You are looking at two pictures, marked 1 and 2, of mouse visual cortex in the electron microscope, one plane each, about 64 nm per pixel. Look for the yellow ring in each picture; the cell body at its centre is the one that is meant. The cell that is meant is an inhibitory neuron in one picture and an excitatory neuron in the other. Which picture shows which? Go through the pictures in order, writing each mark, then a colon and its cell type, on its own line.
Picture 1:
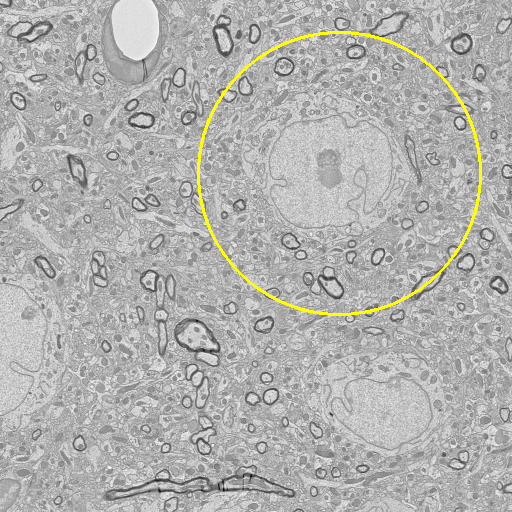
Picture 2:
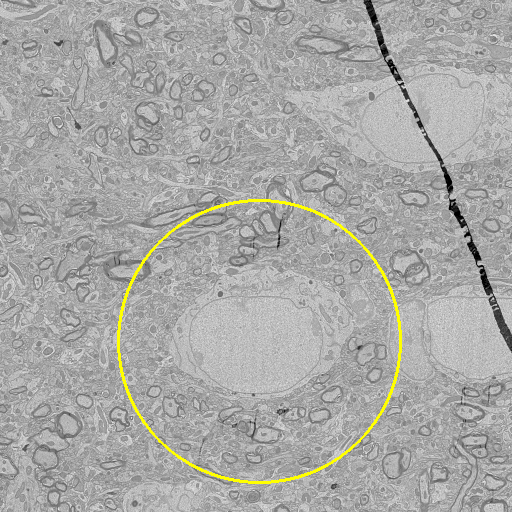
1: inhibitory neuron
2: excitatory neuron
